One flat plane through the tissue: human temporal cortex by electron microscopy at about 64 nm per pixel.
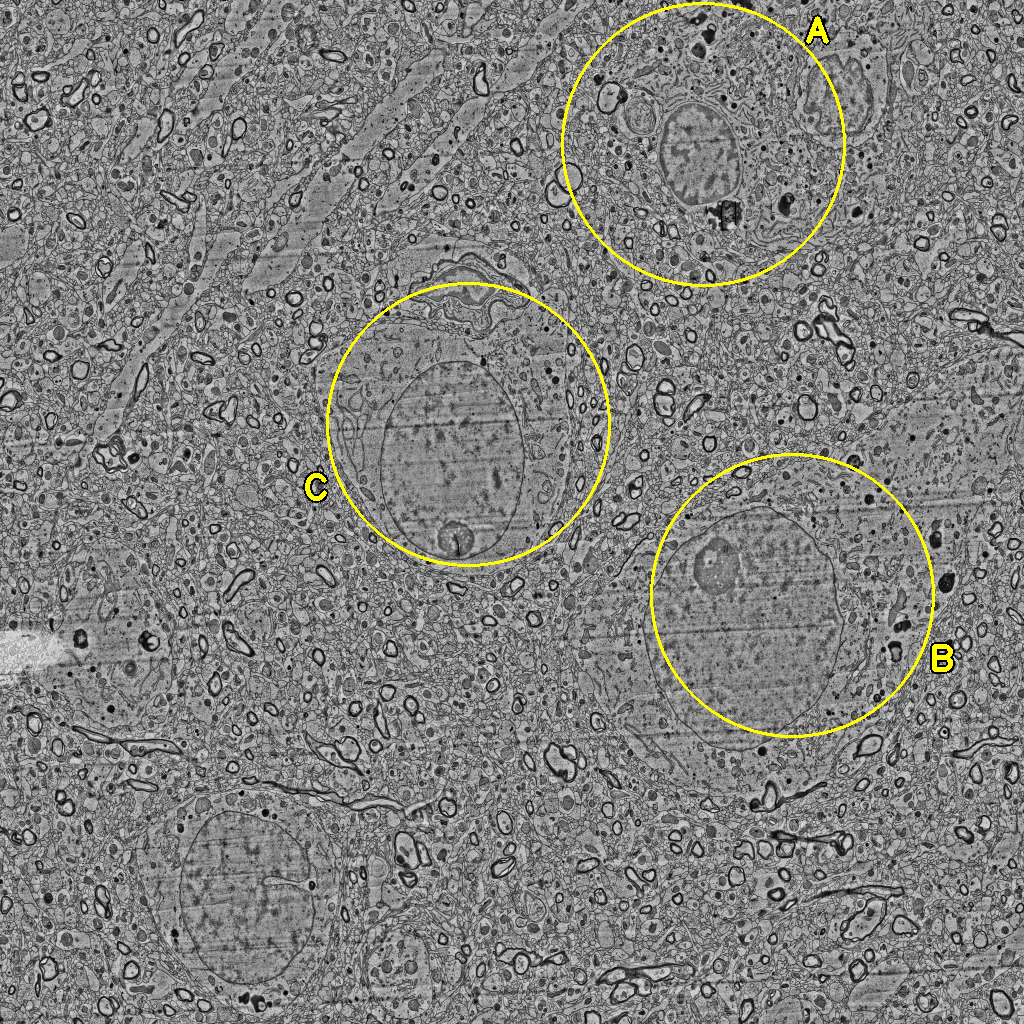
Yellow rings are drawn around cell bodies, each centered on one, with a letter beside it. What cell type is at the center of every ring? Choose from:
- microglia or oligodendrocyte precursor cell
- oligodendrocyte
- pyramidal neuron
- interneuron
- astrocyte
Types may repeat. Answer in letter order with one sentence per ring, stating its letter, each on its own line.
The cell at the center of ring A is an oligodendrocyte.
The cell at the center of ring B is a pyramidal neuron.
The cell at the center of ring C is a pyramidal neuron.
